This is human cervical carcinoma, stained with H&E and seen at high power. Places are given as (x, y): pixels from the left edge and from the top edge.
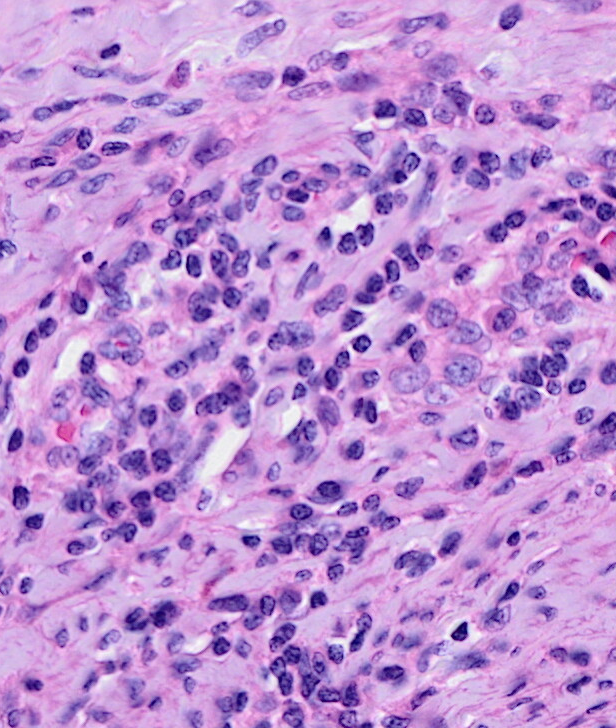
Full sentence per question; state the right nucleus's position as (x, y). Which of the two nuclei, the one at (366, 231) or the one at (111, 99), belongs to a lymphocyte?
Of the two nuclei, the one sitting at (366, 231) belongs to a lymphocyte.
